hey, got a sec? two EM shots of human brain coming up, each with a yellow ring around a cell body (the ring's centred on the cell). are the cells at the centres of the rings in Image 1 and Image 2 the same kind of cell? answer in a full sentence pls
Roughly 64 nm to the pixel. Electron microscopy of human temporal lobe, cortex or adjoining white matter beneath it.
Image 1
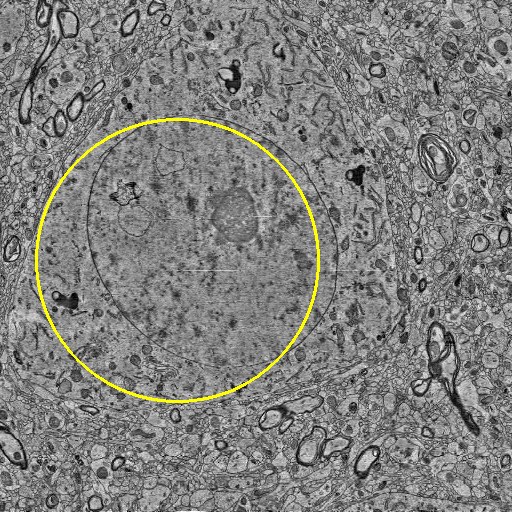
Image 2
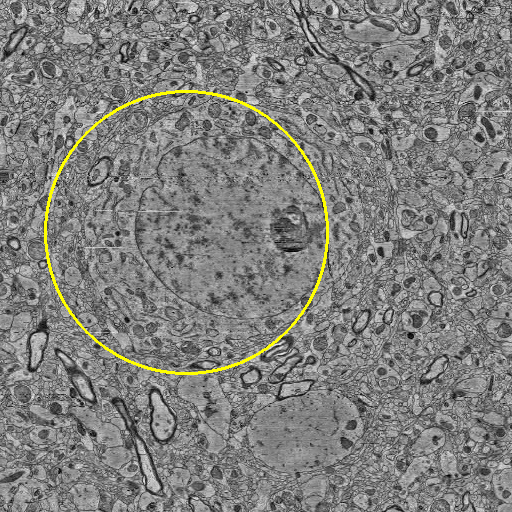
No, they are two kinds of cell.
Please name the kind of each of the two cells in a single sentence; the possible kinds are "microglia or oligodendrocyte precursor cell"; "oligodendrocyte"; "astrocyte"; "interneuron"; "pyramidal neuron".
In the first picture the ring is centred on a pyramidal neuron, and in the second on an interneuron.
